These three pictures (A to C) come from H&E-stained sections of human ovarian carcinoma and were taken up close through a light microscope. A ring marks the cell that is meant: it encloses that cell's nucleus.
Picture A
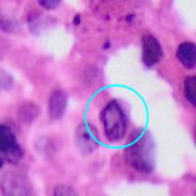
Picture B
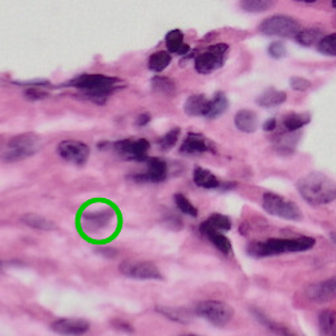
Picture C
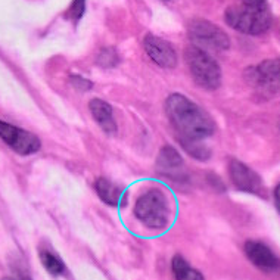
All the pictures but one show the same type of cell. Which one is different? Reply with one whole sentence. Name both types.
All pictures except B show “macrophages or monocytes”; picture B shows a fibroblast.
